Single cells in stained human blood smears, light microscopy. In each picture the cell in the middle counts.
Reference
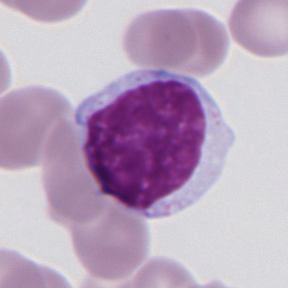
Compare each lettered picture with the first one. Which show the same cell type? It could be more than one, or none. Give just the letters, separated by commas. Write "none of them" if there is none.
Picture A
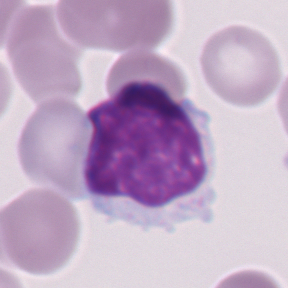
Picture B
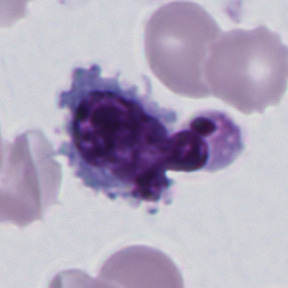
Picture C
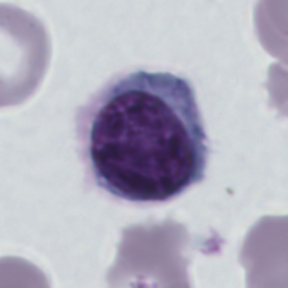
A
